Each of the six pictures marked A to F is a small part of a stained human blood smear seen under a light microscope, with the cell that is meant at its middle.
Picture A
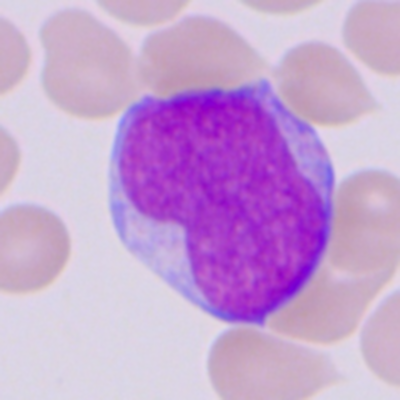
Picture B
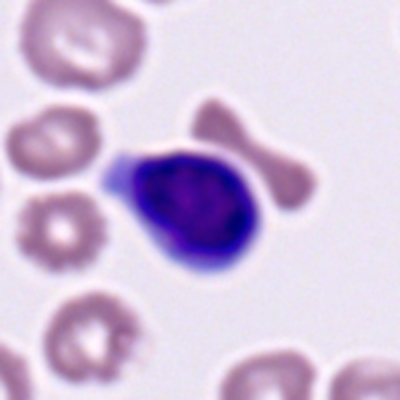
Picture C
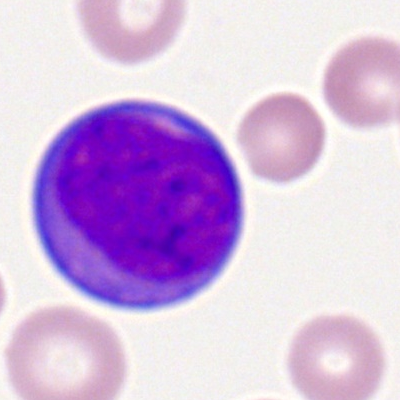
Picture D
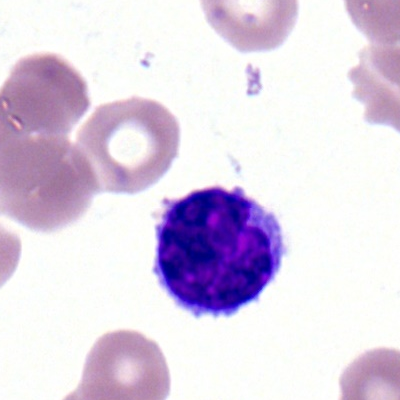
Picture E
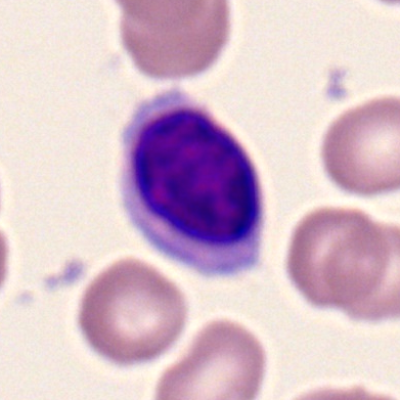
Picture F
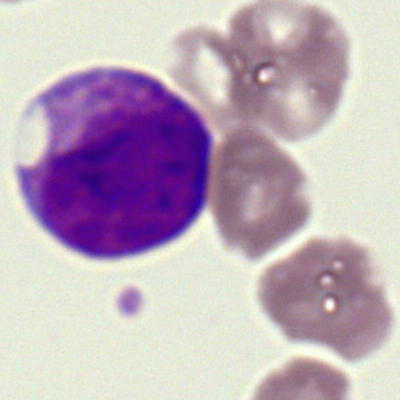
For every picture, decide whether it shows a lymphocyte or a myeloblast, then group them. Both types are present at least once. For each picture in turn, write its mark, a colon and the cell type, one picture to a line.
A: myeloblast
B: lymphocyte
C: myeloblast
D: lymphocyte
E: lymphocyte
F: myeloblast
